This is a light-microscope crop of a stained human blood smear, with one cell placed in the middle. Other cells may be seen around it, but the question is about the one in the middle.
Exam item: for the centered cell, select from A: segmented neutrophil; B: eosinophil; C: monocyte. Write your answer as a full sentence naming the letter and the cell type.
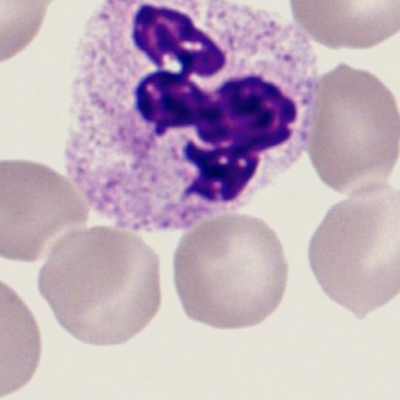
The central cell is a segmented neutrophil, which makes option A the right answer.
